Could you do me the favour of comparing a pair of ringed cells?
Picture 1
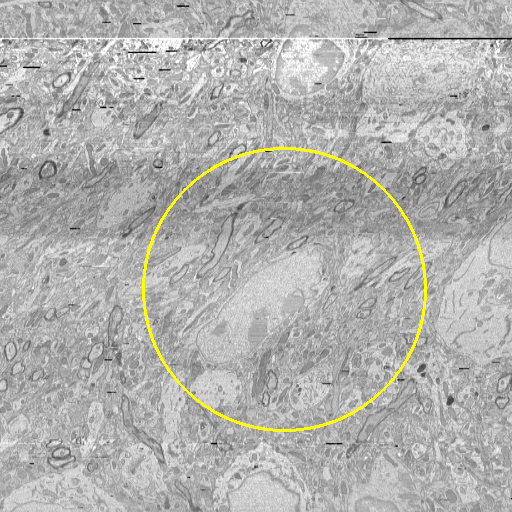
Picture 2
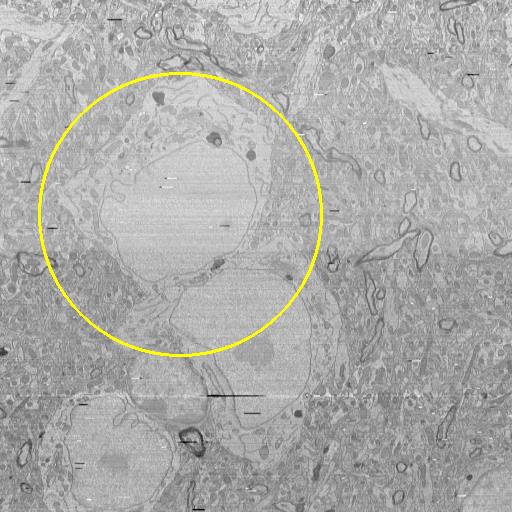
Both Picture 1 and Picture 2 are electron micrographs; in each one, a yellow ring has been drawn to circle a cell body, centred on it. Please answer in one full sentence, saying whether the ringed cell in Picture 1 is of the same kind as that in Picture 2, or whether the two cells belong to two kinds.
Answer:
The ringed cells in Picture 1 and Picture 2 belong to two kinds.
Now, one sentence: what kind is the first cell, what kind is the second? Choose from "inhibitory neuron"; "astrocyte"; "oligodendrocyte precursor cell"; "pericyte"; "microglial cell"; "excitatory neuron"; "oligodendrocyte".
The first picture has an oligodendrocyte precursor cell at its ring centre, and the second has an excitatory neuron.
